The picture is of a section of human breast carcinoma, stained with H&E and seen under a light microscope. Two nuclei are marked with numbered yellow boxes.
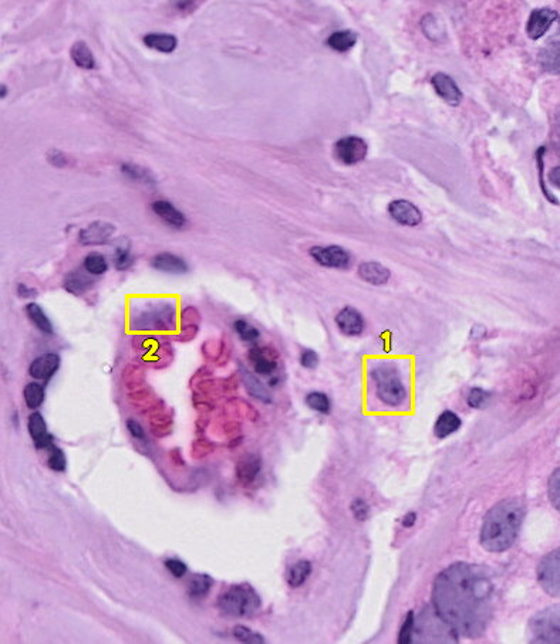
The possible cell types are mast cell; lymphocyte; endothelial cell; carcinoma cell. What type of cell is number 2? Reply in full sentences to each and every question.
Recognised here as an endothelial cell is the cell numbered 2.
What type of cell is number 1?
Corresponding to a mast cell is the cell labelled 1.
